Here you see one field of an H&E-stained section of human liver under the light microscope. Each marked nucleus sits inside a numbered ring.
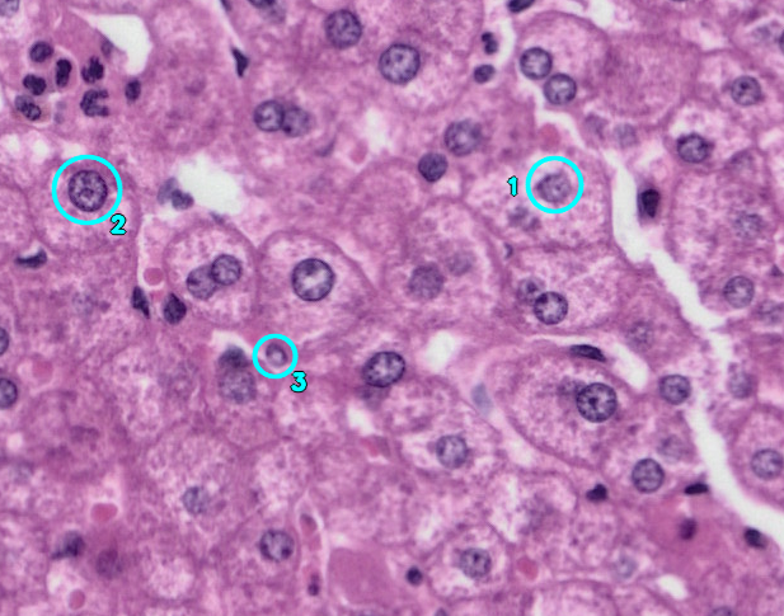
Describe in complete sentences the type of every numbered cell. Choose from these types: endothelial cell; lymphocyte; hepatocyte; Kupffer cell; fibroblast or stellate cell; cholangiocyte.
Cells 1 and 2 are hepatocytes. Cell 3 is a Kupffer cell.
